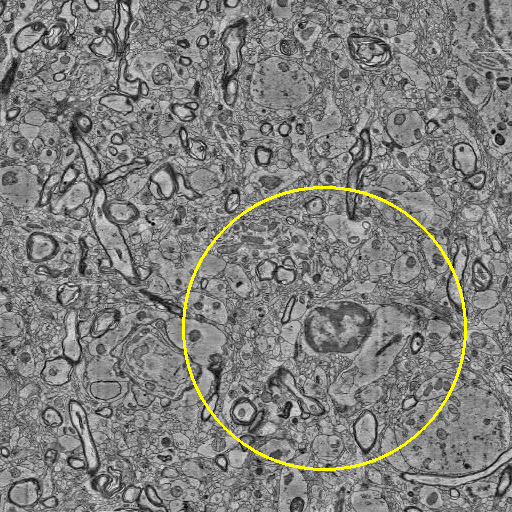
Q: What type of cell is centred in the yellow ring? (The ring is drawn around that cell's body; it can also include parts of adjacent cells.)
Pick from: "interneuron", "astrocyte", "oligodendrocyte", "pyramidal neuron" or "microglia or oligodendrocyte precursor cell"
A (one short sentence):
The yellow ring is centred on a microglial cell or oligodendrocyte precursor cell.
